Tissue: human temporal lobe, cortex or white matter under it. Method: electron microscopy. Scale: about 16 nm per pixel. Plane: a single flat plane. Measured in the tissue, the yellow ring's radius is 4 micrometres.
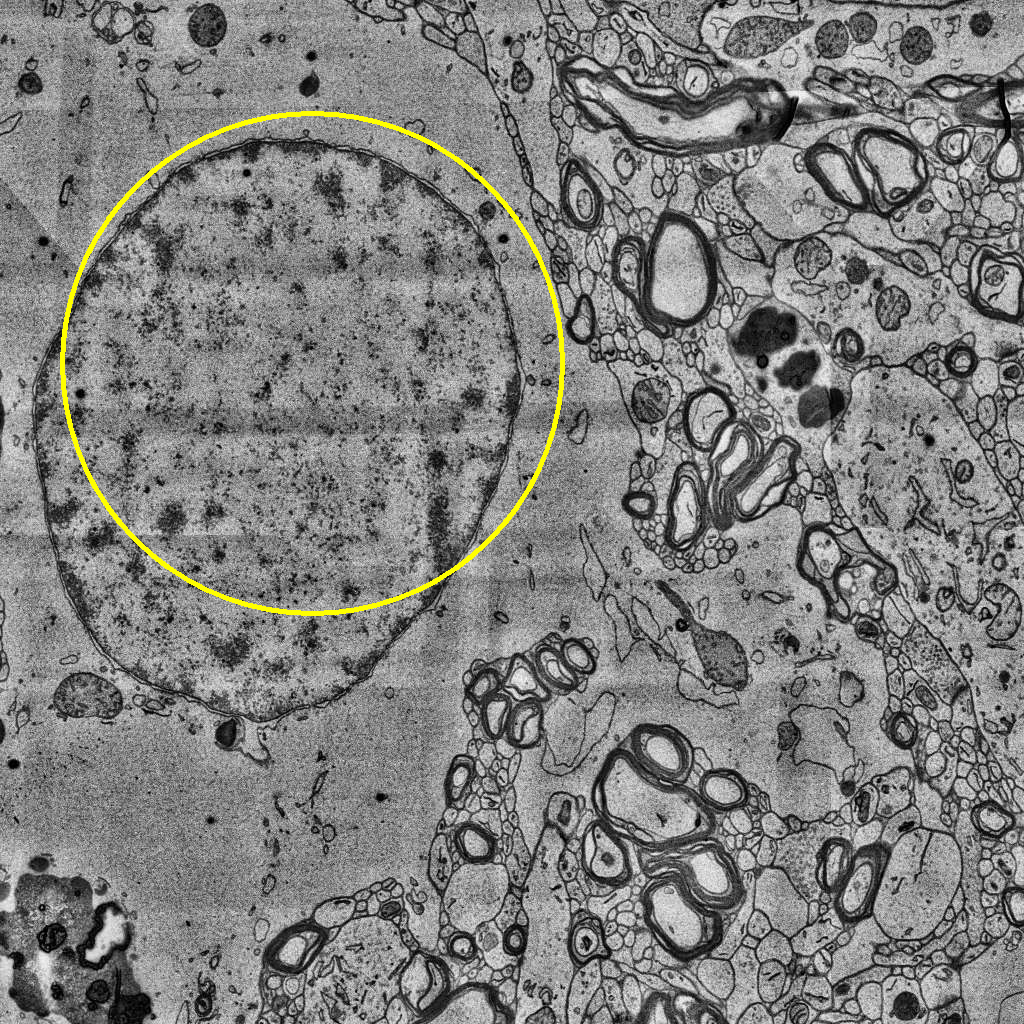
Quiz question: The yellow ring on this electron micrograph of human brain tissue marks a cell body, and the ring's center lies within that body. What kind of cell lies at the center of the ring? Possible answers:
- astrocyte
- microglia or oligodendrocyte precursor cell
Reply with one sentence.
The ring's center lies on an astrocyte.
